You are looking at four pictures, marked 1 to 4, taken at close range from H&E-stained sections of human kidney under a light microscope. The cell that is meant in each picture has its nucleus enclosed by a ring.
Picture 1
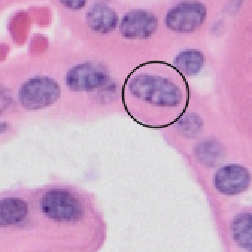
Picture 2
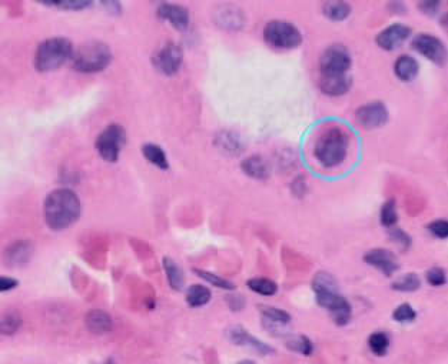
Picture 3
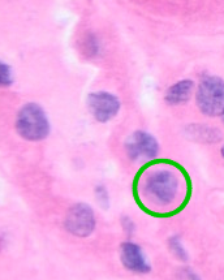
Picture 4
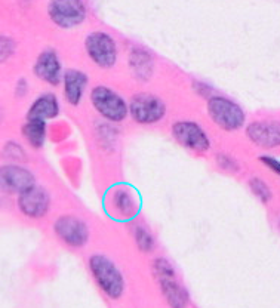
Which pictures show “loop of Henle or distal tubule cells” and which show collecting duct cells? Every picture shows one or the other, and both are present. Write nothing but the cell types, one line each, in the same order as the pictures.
collecting duct cell
loop of Henle or distal tubule cell
loop of Henle or distal tubule cell
collecting duct cell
